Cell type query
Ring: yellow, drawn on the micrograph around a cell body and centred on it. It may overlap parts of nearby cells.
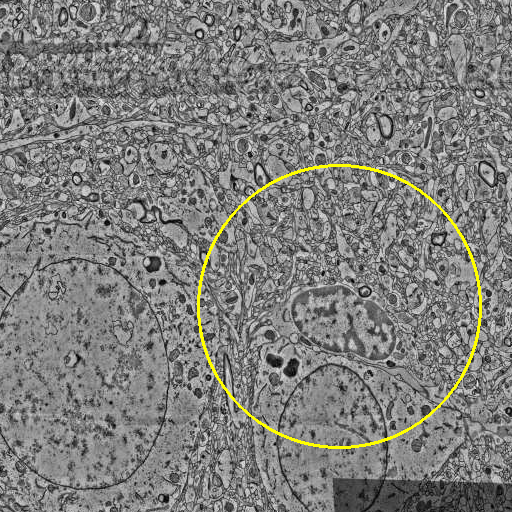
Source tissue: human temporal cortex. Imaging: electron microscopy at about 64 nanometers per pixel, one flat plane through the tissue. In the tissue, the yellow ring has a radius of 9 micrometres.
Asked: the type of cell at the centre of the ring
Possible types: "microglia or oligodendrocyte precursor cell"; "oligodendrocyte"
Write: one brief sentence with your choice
The ring marks a microglial cell or oligodendrocyte precursor cell.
